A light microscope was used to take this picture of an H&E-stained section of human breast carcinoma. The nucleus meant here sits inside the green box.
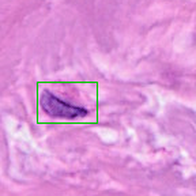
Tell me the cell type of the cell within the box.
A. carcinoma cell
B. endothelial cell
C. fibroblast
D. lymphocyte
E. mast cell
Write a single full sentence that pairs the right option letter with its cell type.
Settle on option C; the cell within the box is a fibroblast.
